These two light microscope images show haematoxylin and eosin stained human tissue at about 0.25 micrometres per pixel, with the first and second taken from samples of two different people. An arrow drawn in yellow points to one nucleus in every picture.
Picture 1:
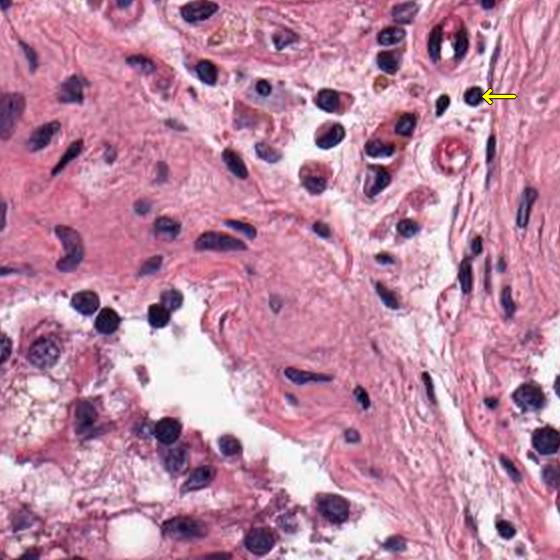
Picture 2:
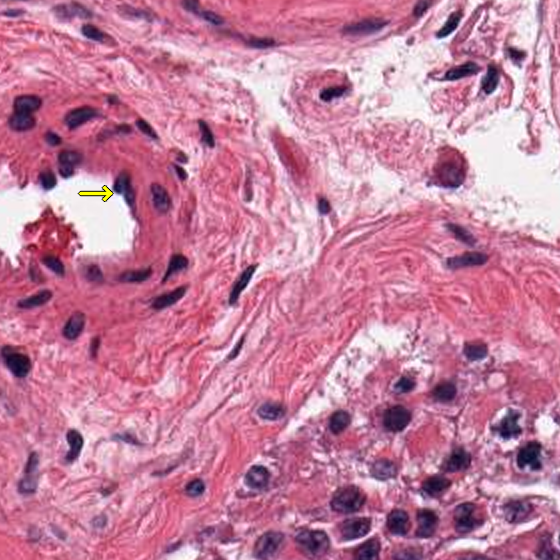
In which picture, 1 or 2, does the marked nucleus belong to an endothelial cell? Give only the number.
2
